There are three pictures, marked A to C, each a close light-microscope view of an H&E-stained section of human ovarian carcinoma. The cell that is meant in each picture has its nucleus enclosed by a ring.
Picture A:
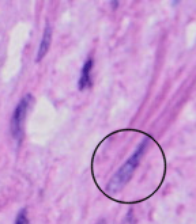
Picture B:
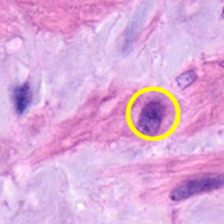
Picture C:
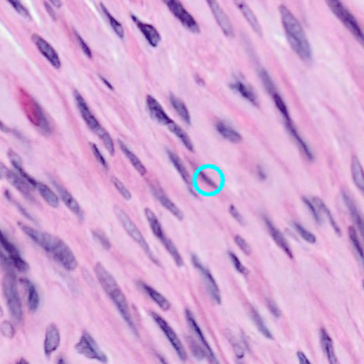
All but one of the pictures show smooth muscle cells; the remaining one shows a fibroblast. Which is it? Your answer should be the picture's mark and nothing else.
A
